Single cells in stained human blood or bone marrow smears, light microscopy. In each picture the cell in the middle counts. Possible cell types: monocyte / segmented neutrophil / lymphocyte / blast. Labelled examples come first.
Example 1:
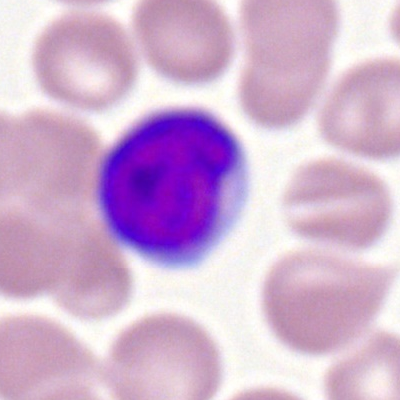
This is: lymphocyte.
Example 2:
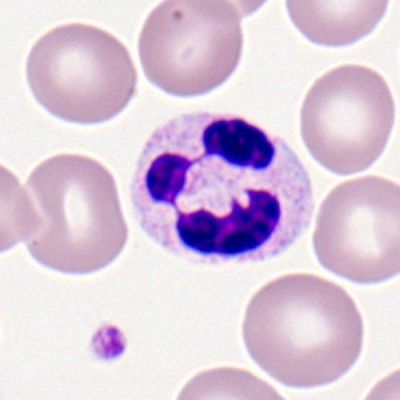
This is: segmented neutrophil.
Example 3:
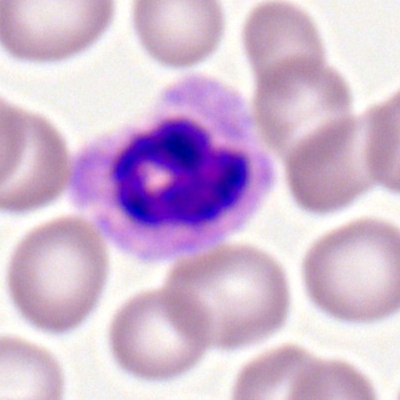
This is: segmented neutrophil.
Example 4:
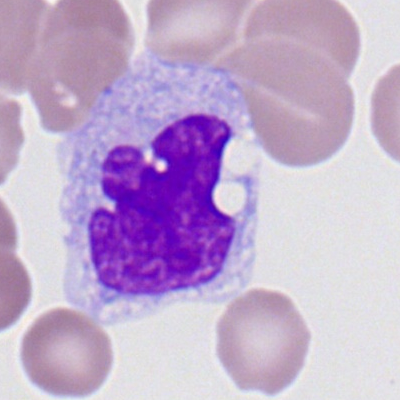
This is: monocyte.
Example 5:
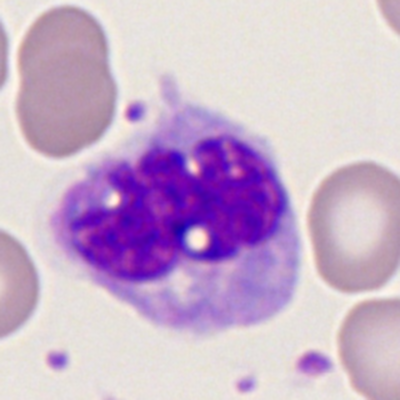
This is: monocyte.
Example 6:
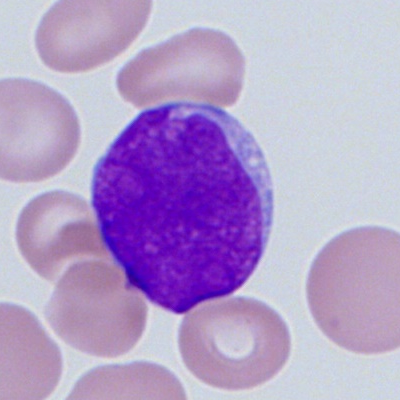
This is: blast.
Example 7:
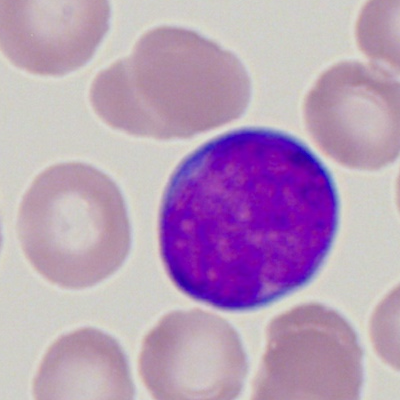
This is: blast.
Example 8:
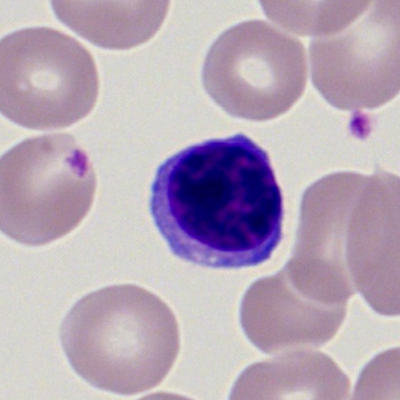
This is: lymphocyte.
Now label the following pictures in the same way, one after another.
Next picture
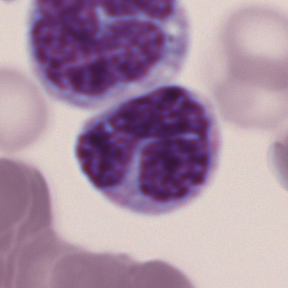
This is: monocyte.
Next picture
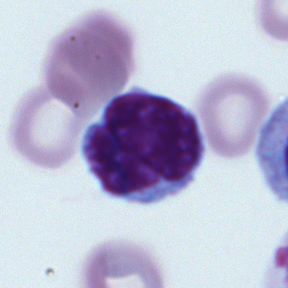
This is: lymphocyte.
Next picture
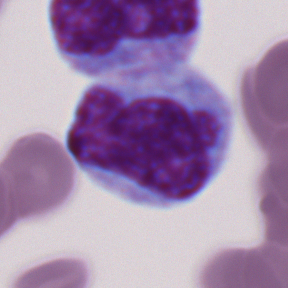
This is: monocyte.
